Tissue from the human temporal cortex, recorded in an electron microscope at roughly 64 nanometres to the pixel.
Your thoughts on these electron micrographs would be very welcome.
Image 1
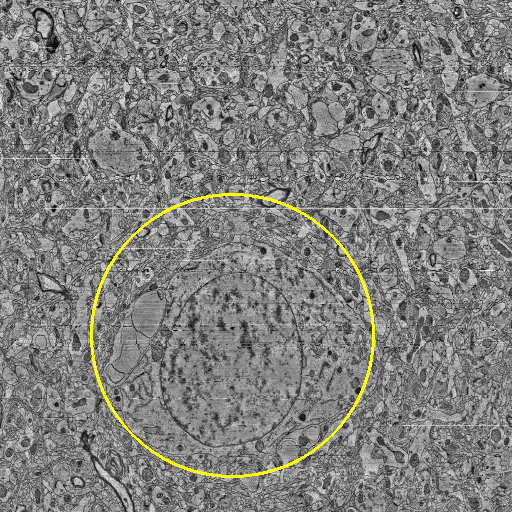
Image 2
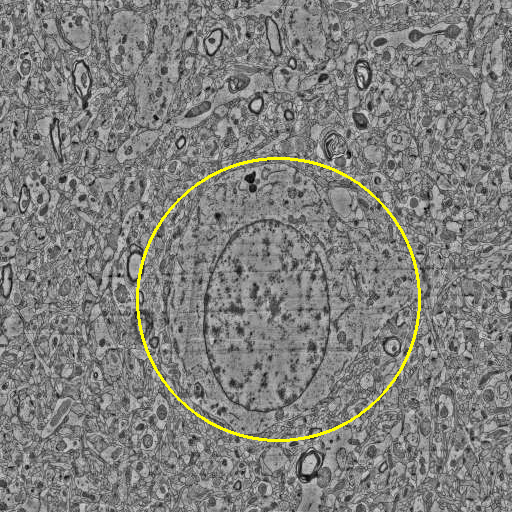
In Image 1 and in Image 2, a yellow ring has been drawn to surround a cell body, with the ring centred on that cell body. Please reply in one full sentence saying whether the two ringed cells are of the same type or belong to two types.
The ringed cells in Image 1 and Image 2 are of the same type.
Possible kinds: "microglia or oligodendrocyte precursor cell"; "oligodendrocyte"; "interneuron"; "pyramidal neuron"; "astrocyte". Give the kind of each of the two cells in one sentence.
Both rings mark a pyramidal neuron, one in each picture.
